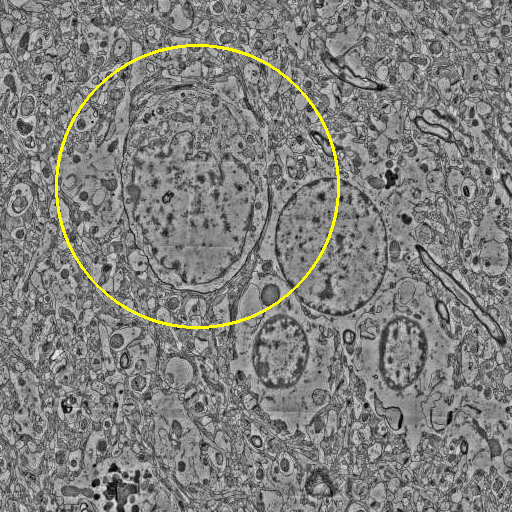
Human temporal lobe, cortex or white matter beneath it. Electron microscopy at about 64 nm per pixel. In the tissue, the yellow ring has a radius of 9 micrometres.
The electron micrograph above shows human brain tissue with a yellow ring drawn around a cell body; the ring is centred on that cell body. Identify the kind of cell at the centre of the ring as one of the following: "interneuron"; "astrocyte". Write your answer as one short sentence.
The cell at the centre of the ring is an interneuron.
